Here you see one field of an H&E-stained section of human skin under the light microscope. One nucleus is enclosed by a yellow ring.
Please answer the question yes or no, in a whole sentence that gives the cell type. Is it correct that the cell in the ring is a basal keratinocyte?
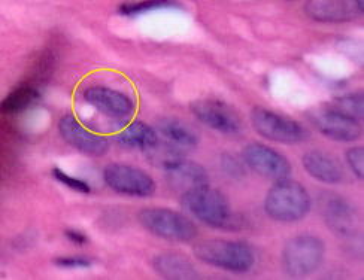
Yes, calling the cell in the ring a basal keratinocyte is correct.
